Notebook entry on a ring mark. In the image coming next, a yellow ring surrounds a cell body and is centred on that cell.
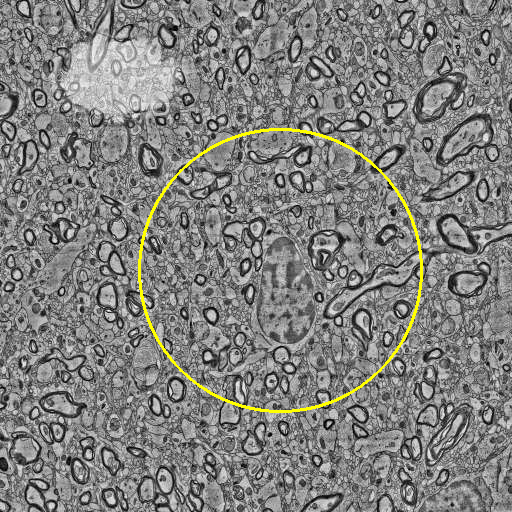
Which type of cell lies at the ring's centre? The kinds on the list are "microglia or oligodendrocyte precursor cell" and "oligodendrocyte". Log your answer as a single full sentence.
Centred in the yellow ring is a microglial cell or oligodendrocyte precursor cell, the cell recorded for this image.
